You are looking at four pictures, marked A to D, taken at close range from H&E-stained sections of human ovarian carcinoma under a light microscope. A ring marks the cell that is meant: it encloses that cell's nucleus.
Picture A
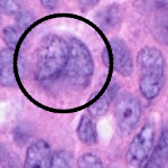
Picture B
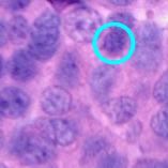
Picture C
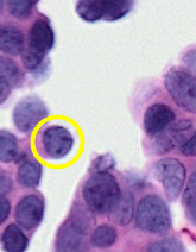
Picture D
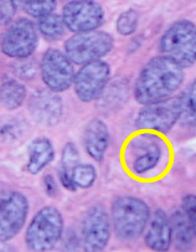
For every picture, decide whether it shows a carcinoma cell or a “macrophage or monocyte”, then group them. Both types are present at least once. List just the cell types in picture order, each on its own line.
carcinoma cell
carcinoma cell
carcinoma cell
macrophage or monocyte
